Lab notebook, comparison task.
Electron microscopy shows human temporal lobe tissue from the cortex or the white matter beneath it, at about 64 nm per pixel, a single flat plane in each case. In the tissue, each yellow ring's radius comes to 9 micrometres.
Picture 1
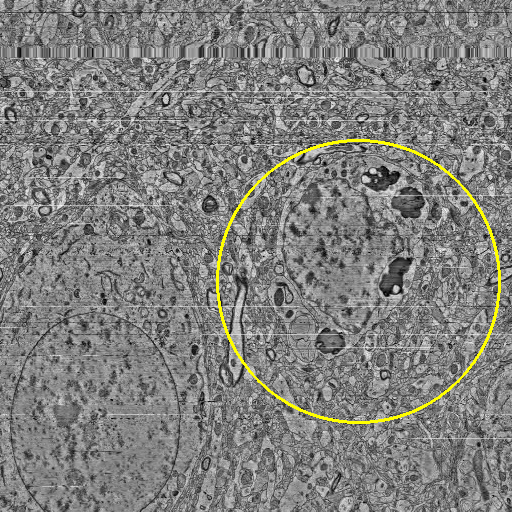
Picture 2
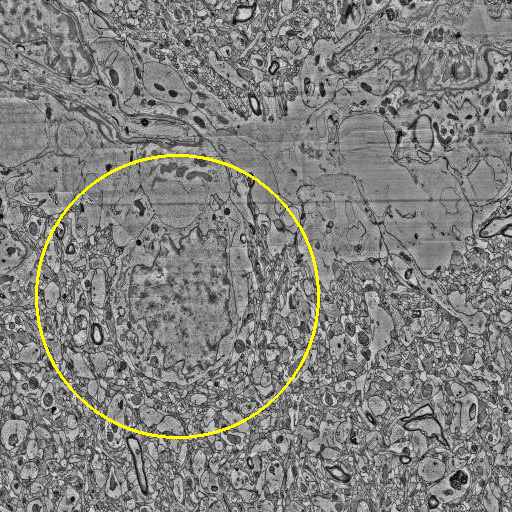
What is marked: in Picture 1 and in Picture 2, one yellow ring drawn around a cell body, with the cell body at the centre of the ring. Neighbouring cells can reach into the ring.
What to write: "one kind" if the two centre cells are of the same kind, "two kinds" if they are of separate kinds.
one kind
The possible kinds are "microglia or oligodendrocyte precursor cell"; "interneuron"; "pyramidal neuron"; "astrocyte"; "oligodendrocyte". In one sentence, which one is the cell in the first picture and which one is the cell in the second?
Each of the two rings surrounds an interneuron.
